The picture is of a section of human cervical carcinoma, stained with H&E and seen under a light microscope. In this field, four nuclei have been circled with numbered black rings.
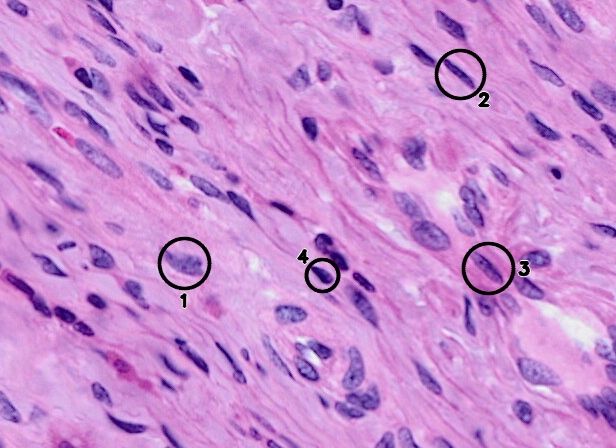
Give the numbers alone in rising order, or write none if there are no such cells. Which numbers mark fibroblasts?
1, 2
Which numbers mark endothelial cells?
3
